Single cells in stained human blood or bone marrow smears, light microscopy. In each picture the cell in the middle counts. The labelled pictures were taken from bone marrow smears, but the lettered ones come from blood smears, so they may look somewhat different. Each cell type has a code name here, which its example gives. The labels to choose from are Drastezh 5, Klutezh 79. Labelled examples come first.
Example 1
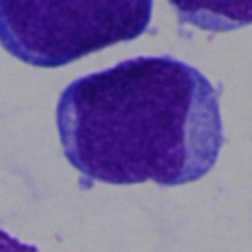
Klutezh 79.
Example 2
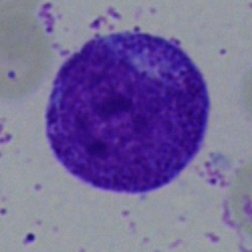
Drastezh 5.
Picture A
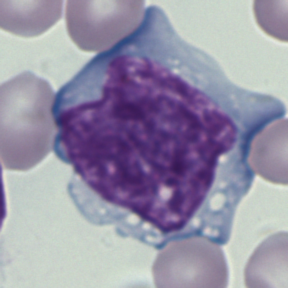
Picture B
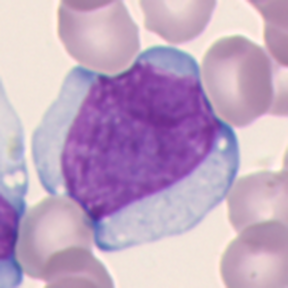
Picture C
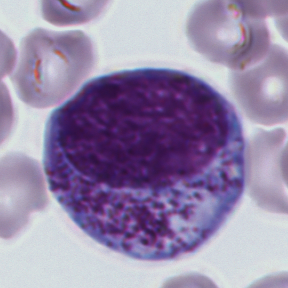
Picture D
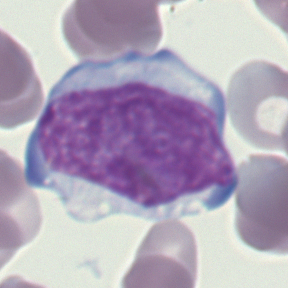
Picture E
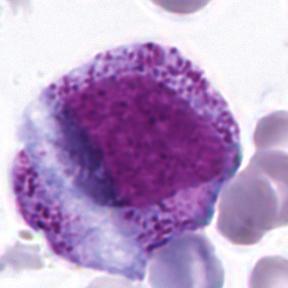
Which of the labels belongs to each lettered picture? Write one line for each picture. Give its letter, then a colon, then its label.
A: Klutezh 79.
B: Klutezh 79.
C: Drastezh 5.
D: Klutezh 79.
E: Drastezh 5.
